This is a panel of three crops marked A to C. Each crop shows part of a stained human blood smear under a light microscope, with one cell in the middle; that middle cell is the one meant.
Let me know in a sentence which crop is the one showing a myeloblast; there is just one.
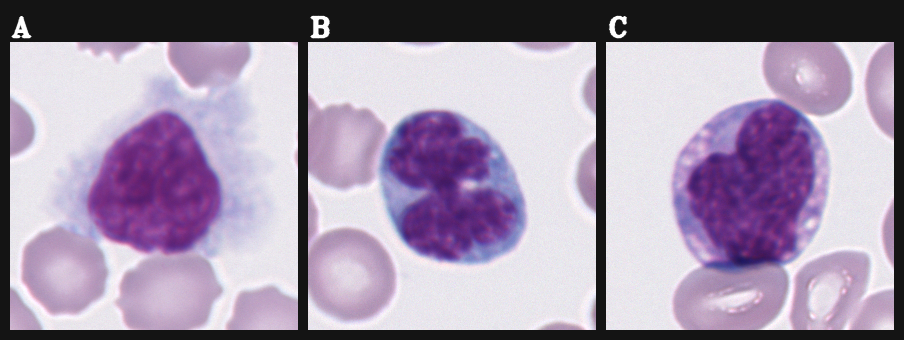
Crop B is the one to choose: it shows a myeloblast.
